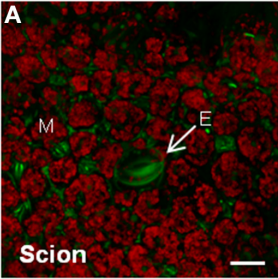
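Leaf surface with a stoma and underlying mesophyll cells. Rounded mesophyll cells are packed with red, granular bodies and separated by thin green outlines. A single stoma, a pair of kidney-shaped guard cells around an elliptical pore, stands out with bright green outline near the centre. Small green dots lie scattered between the cells.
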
